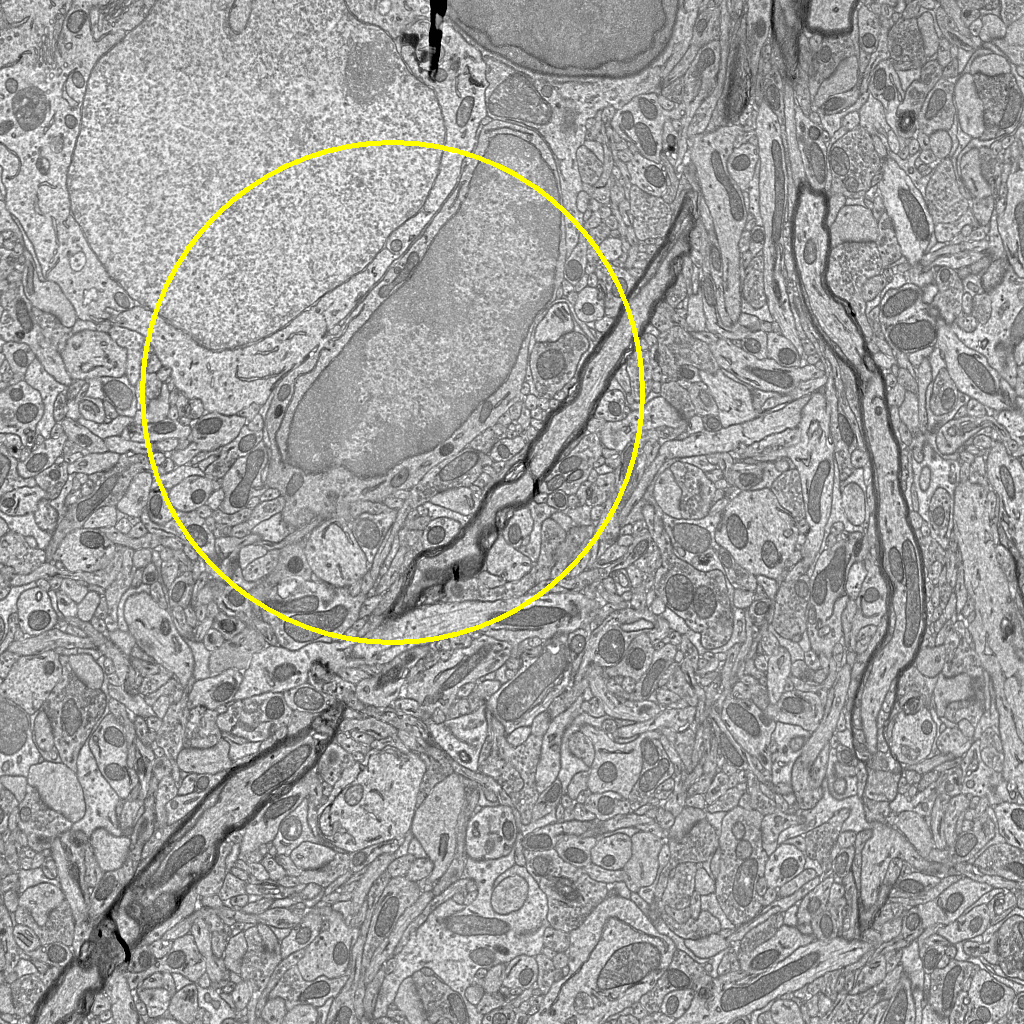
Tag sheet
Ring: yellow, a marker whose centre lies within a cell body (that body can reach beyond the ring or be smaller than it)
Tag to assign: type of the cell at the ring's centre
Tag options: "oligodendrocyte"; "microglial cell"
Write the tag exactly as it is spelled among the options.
microglial cell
